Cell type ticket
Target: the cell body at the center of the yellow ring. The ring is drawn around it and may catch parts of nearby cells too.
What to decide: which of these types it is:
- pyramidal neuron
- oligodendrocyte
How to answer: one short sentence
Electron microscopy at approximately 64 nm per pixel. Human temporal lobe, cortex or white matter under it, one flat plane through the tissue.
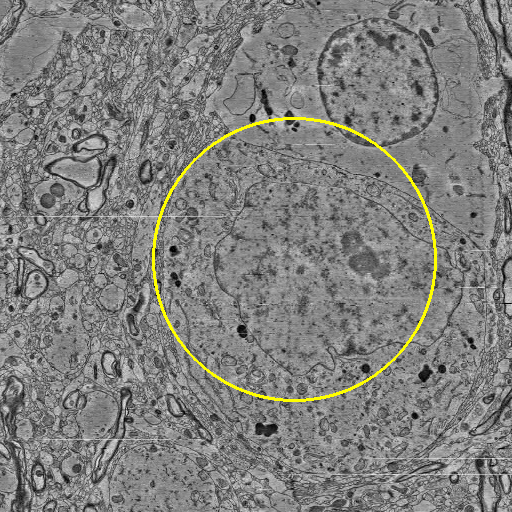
The cell at the center of the ring is a pyramidal neuron.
